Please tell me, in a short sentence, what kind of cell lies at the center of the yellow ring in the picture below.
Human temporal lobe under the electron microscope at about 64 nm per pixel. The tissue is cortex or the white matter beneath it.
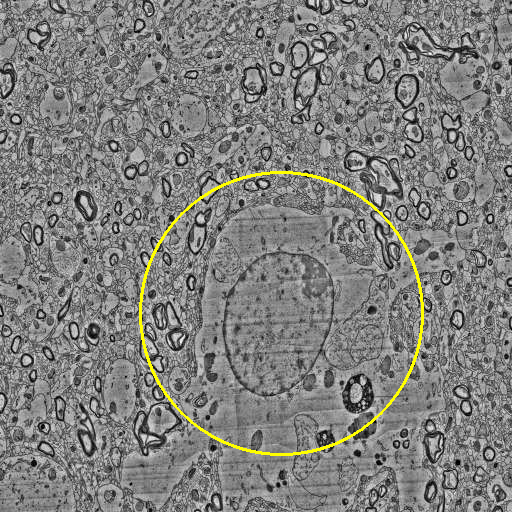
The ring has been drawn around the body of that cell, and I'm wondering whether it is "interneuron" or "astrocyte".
The cell at the center of the ring is an astrocyte.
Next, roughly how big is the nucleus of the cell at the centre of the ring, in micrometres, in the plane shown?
About 9 micrometres by about 7 micrometres in this plane.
